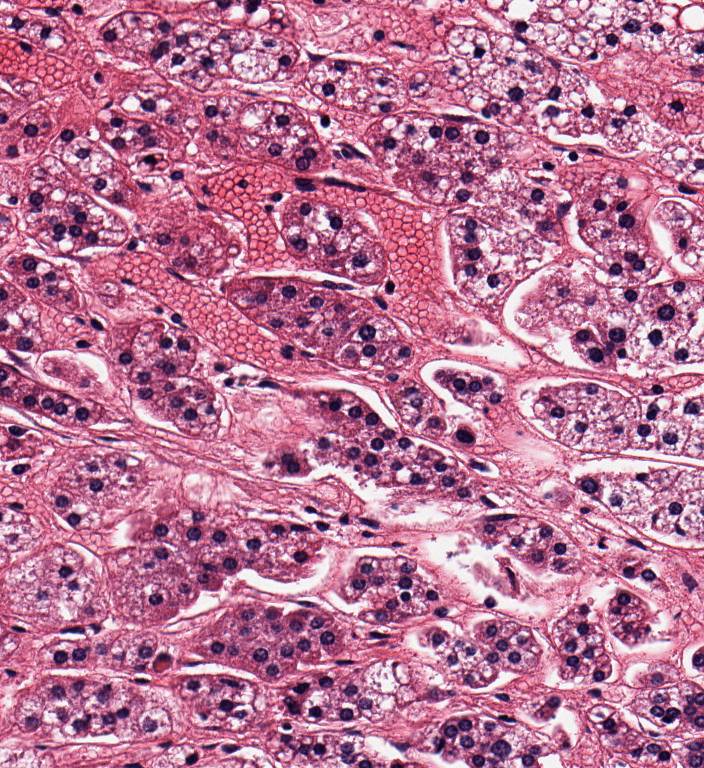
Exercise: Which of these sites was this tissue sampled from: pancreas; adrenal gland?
adrenal gland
